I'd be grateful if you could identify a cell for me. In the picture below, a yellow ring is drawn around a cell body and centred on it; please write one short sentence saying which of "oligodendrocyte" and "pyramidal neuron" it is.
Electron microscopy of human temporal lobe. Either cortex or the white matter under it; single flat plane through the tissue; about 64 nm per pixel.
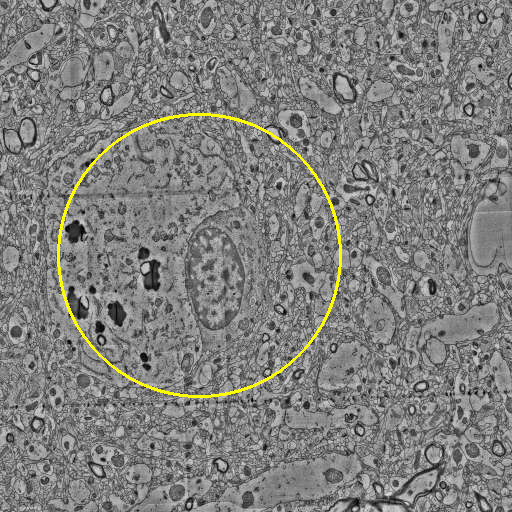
The cell under the ring's centre is an oligodendrocyte.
